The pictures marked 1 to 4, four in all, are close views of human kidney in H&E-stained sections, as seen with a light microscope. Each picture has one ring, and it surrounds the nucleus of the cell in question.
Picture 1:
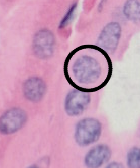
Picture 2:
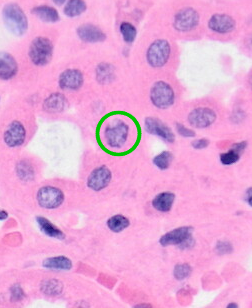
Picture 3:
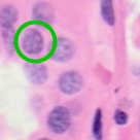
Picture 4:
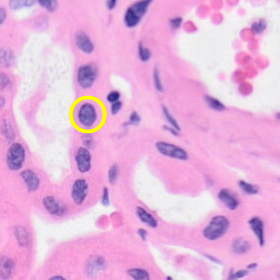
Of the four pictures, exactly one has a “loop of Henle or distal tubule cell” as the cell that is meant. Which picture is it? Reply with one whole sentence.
It is picture 2 that shows the “loop of Henle or distal tubule cell”.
